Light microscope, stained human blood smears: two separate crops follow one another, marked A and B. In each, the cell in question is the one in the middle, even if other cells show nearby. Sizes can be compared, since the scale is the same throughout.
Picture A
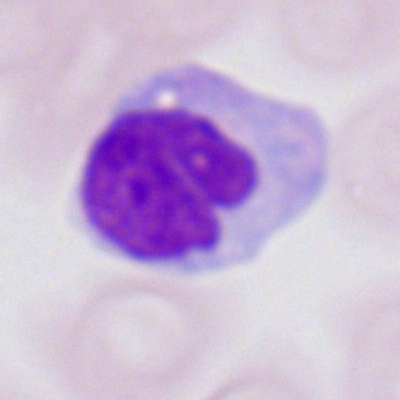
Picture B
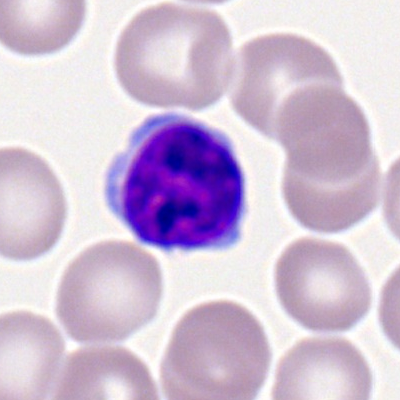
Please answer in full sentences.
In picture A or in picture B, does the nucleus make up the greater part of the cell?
It is the cell in picture B that is filled more by its nucleus.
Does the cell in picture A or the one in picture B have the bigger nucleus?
The nucleus in picture A is larger, with about 1.5 times the area of the one in picture B.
